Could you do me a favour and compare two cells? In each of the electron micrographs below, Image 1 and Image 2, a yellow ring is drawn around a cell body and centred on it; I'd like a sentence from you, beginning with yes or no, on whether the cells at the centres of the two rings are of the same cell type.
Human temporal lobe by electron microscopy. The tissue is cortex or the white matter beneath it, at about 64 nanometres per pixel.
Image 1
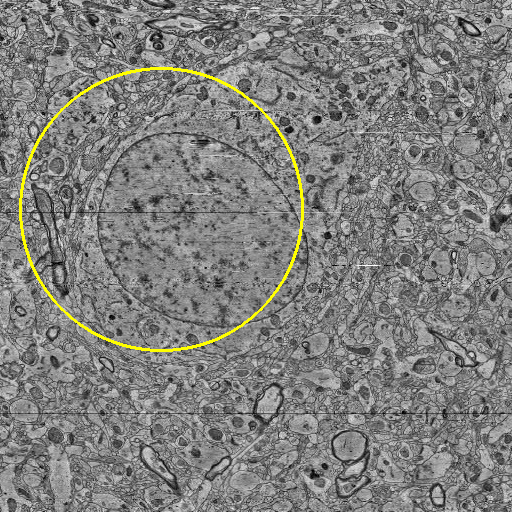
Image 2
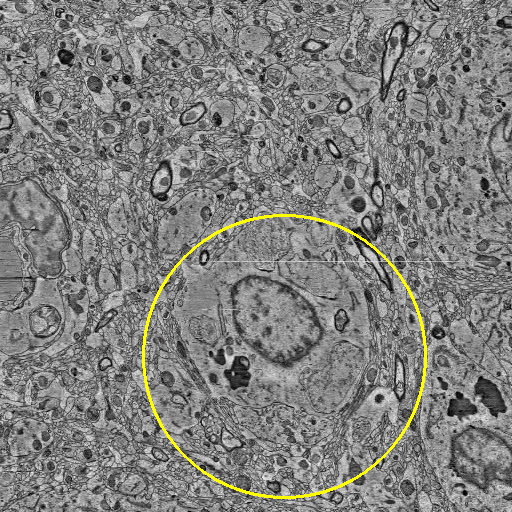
No, the two cells are of two cell types.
